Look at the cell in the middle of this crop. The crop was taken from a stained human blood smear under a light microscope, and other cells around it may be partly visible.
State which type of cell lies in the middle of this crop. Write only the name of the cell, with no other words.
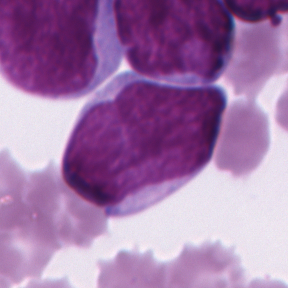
myeloblast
